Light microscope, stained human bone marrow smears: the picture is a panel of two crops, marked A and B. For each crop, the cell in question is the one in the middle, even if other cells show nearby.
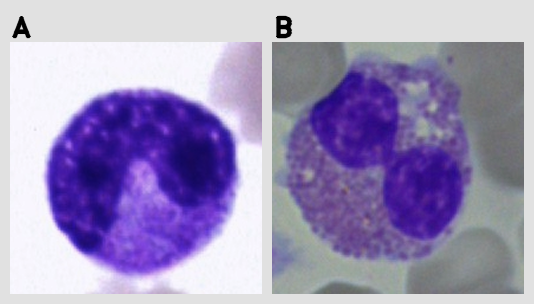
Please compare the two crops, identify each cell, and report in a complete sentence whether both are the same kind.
No, a band neutrophil and an eosinophil are found in crop A and crop B, respectively.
